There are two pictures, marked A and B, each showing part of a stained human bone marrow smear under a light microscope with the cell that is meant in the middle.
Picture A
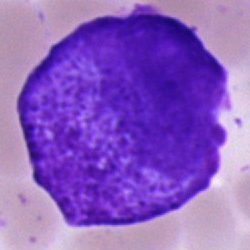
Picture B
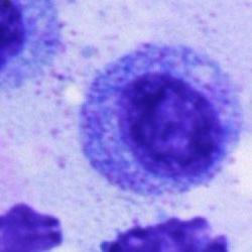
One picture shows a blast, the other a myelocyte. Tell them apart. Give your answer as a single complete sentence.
The cell in picture A is a blast, and the one in picture B is a myelocyte.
